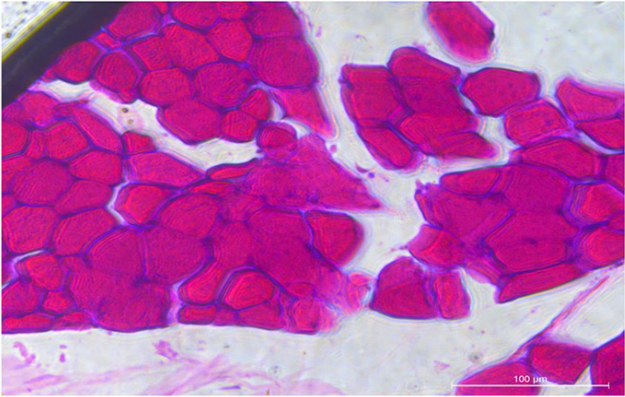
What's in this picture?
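This is a cross section of skeletal muscle showing large polygonal muscle fibers stained pink-red, each with a thin purple rim. The fibers lie side by side in groups, and wide pale areas of connective tissue and clefts separate these groups. The cut faces of the fibers look evenly stained, and there is no central nucleus in them.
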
